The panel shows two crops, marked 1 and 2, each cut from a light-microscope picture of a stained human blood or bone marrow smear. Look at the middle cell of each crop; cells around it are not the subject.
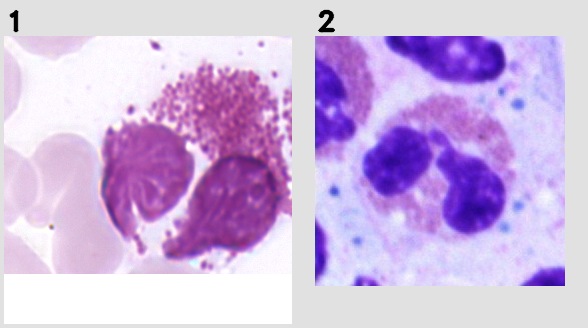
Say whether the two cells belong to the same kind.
yes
